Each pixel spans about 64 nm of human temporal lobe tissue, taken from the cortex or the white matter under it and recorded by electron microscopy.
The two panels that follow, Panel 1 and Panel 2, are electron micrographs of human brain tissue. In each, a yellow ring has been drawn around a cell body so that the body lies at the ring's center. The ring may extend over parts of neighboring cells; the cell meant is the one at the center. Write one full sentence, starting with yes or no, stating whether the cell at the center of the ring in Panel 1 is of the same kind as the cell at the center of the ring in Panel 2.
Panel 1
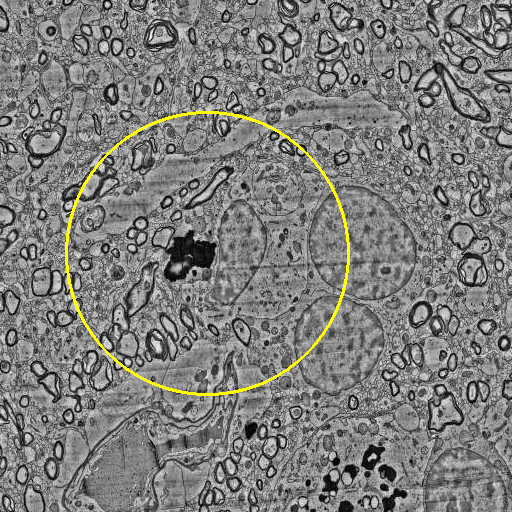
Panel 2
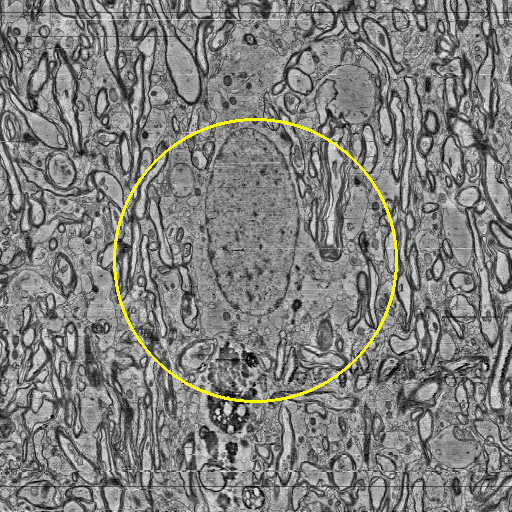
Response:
No, the cells in the two panels are of two kinds.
